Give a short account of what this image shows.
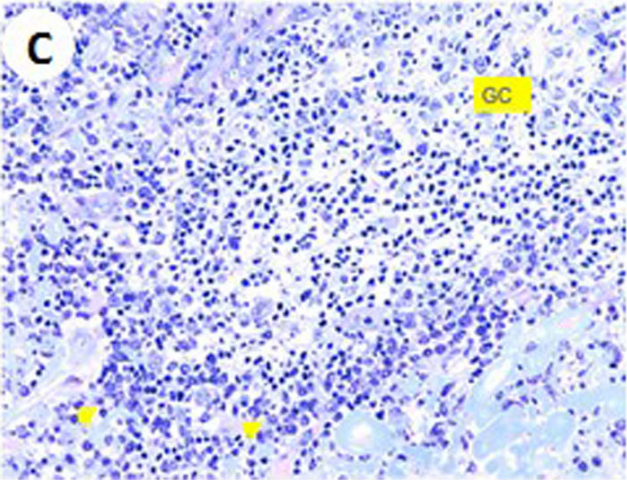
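Interstitium with a dense lymphoid follicle of small round lymphocytes with dark nuclei, enclosing a paler zone of larger cells with lighter nuclei. Around its edge lie plasma cells with eccentric round nuclei and more abundant cytoplasm, beside pale tubules.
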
